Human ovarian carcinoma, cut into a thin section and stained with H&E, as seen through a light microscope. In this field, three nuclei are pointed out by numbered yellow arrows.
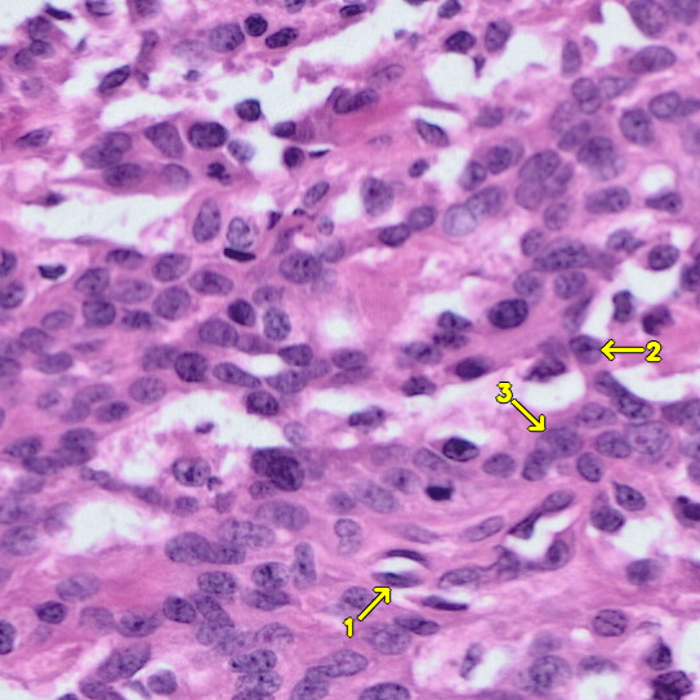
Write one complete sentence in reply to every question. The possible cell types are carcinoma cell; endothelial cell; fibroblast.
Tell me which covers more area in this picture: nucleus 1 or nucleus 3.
Nucleus 3 covers more area, about 1.5 times as much as nucleus 1.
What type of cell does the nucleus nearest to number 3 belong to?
It is a carcinoma cell whose nucleus is nearest to number 3.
